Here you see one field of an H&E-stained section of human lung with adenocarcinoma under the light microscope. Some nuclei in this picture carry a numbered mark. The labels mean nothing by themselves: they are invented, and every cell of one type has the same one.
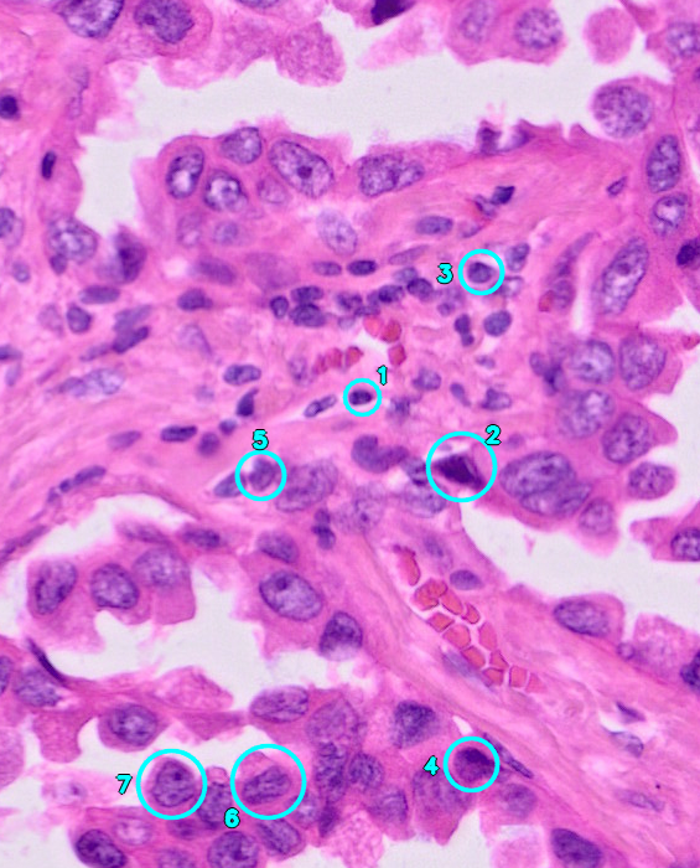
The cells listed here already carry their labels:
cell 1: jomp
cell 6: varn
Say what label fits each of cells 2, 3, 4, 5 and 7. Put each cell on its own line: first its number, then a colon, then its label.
2: varn
3: jomp
4: varn
5: jomp
7: varn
